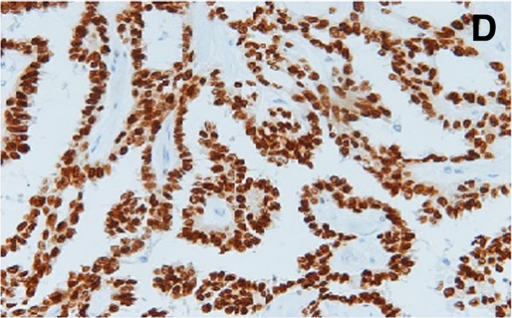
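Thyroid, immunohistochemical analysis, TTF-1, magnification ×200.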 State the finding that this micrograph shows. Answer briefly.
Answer: Papillary carcinoma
